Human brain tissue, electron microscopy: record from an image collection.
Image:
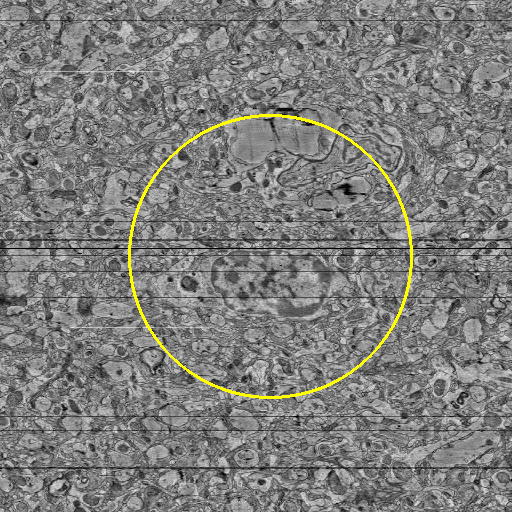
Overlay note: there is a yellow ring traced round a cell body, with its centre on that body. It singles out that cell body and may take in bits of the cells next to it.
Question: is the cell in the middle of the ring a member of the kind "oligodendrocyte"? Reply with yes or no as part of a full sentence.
No, the image's ringed cell, the one at the ring's centre, is a member of another kind.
